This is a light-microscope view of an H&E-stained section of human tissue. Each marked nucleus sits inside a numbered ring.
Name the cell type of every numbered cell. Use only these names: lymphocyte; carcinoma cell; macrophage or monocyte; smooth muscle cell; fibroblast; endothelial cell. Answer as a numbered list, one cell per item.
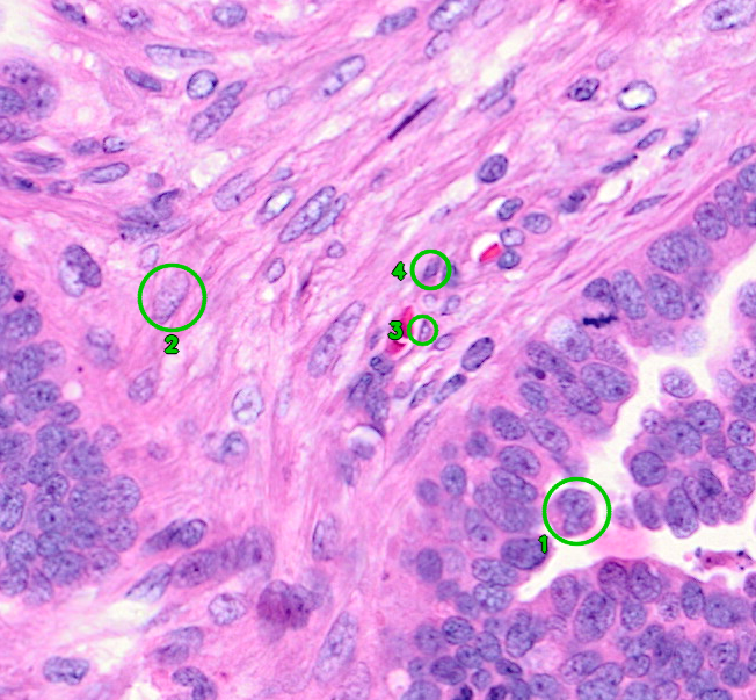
1. carcinoma cell
2. fibroblast
3. endothelial cell
4. fibroblast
